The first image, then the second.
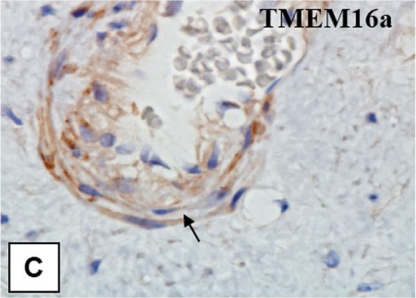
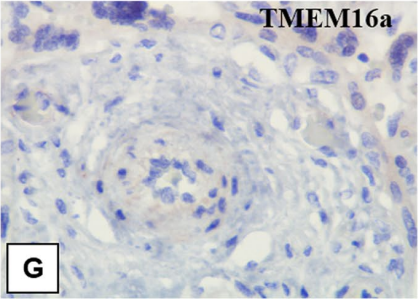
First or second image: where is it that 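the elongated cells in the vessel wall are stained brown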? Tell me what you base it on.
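Second image: the concentric cells around the small vessel are blue-counterstained only, with at most a faint tinge.
Conclusion: the first image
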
